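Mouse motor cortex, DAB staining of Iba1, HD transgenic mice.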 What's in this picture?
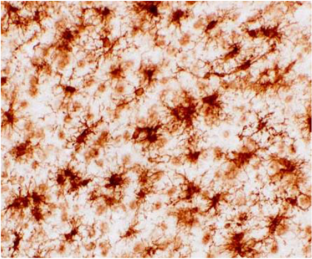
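The cells have dark, somewhat enlarged cell bodies. Each gives off many thick processes that branch repeatedly, giving a bushy, star-like outline. The cells are densely distributed and their processes approach or touch those of neighbouring cells. Intensity of the brown stain is high throughout the field.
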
